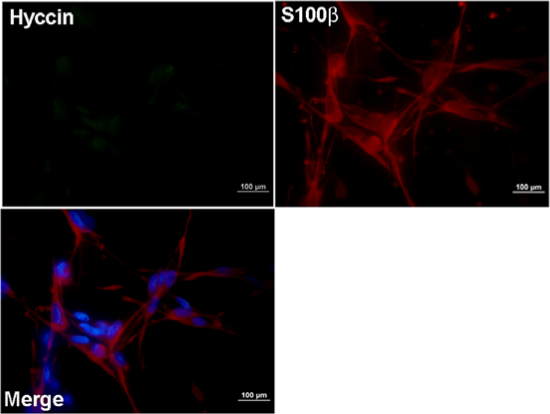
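Cultured Schwann cells appear as elongated, spindle-shaped or bipolar cells with long thin processes outlined in red, forming a loose network. Oval blue nuclei lie in the cell bodies, several of them clustered together. The green channel is nearly dark across the field.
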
